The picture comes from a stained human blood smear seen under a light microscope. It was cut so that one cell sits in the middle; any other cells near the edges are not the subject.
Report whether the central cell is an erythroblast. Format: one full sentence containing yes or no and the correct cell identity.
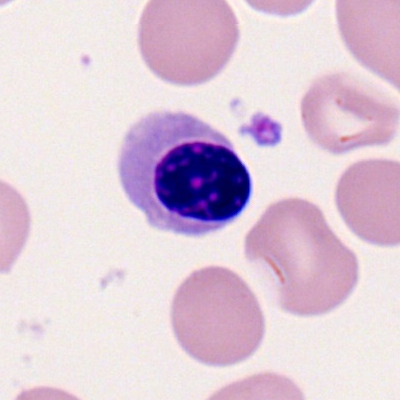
Yes, that is an erythroblast in the middle of the crop.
